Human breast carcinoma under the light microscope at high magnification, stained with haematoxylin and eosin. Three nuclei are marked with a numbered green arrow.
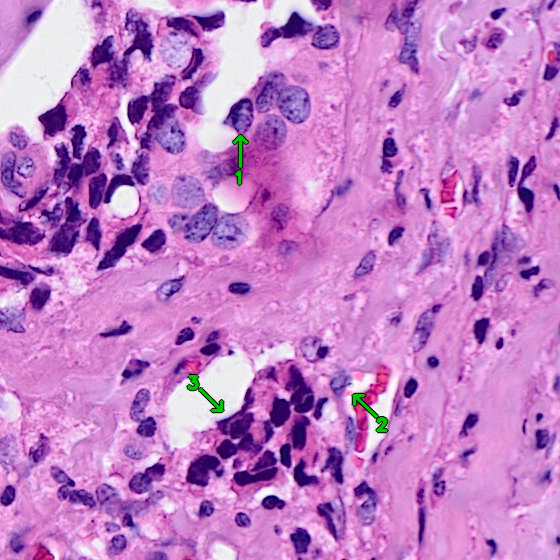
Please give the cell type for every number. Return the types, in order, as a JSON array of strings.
["carcinoma cell", "endothelial cell", "carcinoma cell"]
